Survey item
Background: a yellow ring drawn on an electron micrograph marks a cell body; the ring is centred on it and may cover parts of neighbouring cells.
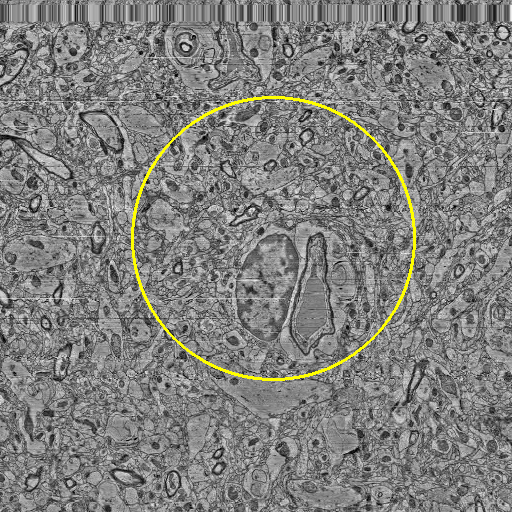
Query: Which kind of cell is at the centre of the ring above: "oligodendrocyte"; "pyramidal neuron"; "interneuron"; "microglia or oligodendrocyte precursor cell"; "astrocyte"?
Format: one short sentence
The cell in the middle of the ring is a microglial cell or oligodendrocyte precursor cell.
